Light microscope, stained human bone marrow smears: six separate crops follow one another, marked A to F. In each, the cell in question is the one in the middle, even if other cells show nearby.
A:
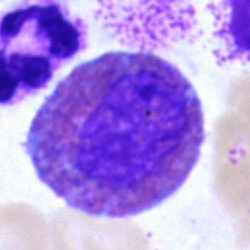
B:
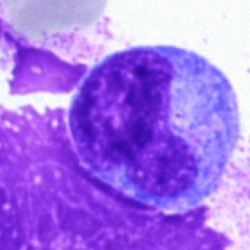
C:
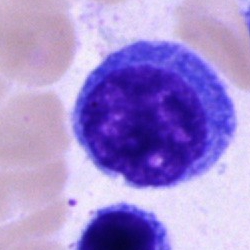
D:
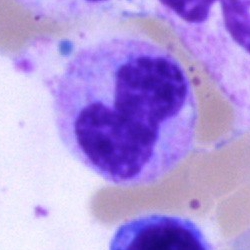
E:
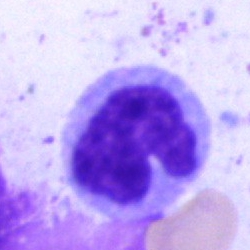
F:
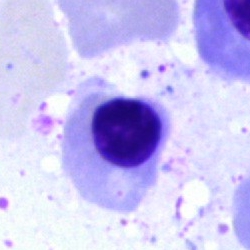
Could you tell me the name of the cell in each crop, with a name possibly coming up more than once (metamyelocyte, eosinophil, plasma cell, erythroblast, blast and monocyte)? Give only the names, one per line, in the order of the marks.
eosinophil
monocyte
blast
monocyte
monocyte
erythroblast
